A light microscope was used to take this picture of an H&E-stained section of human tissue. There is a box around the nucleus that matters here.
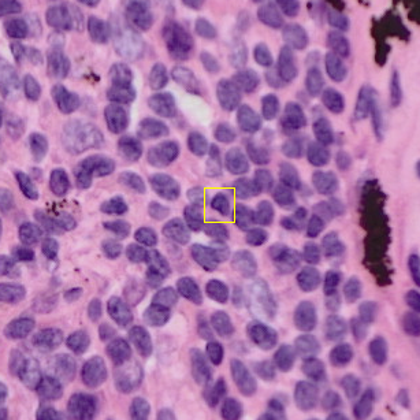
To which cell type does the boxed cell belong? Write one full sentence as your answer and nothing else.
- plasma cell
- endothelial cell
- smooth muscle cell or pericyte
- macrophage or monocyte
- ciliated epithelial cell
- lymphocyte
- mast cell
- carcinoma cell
It is as a lymphocyte that the boxed cell is recorded.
